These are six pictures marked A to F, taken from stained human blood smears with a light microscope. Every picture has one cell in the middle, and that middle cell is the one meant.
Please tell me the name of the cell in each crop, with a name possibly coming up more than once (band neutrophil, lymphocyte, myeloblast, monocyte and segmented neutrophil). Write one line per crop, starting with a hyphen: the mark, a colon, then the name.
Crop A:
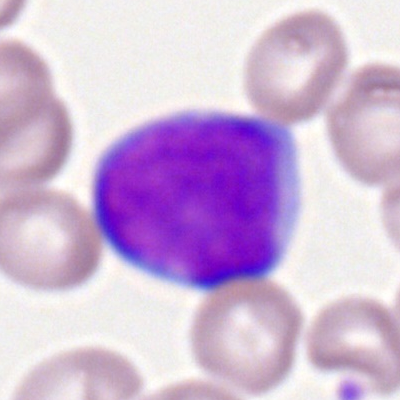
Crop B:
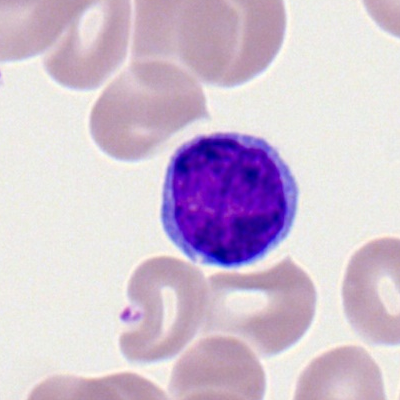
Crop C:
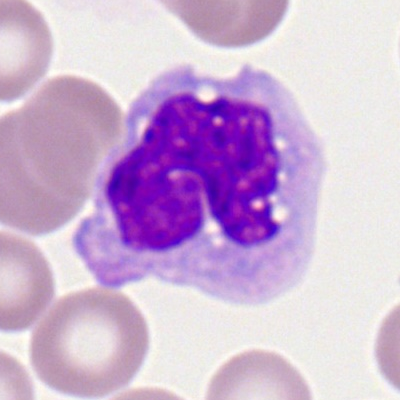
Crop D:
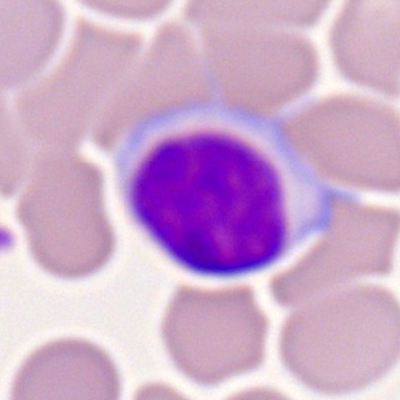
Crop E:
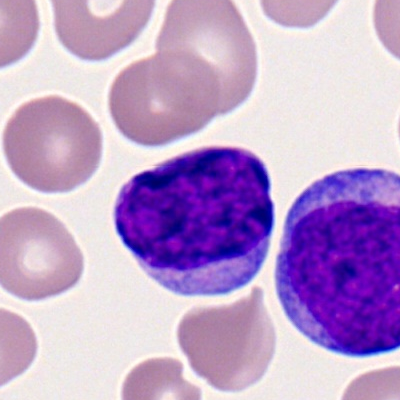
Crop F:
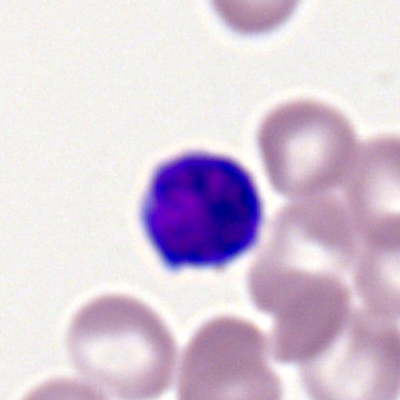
- A: myeloblast
- B: lymphocyte
- C: monocyte
- D: lymphocyte
- E: myeloblast
- F: lymphocyte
